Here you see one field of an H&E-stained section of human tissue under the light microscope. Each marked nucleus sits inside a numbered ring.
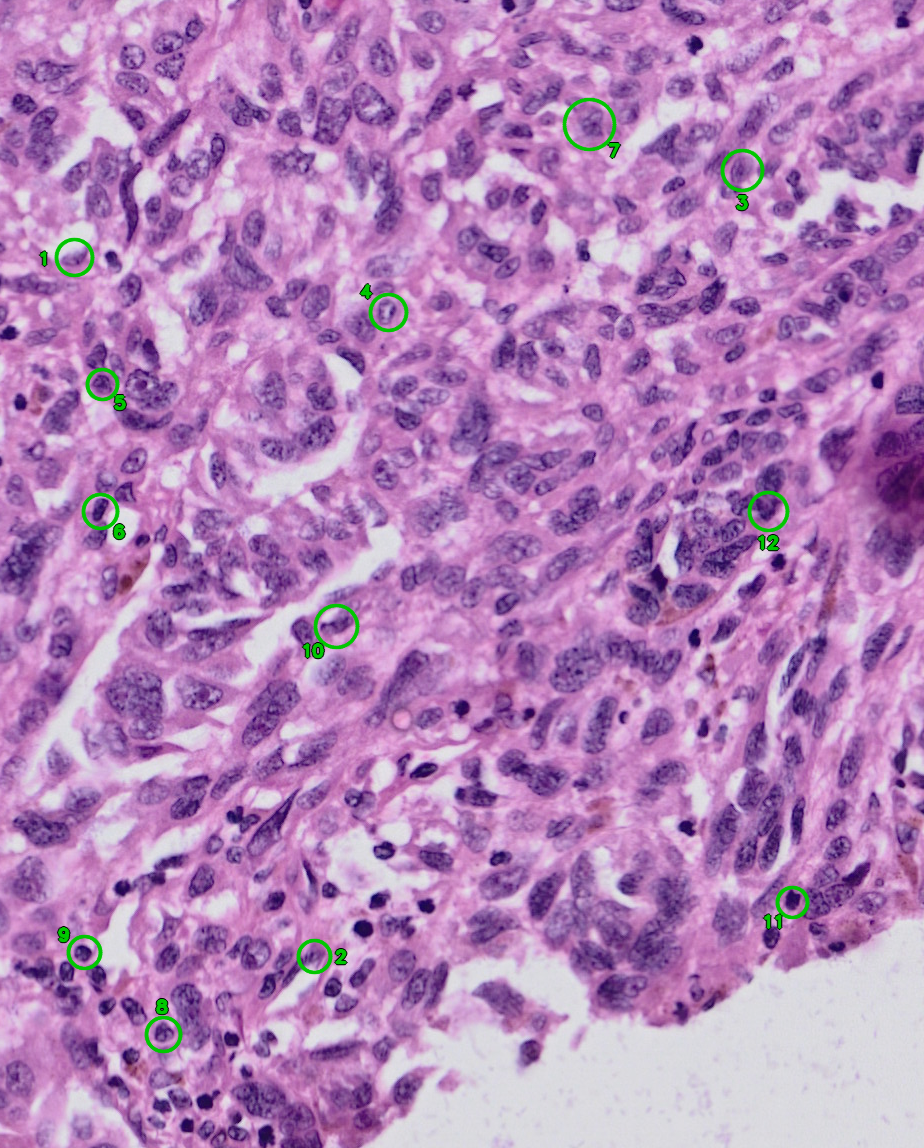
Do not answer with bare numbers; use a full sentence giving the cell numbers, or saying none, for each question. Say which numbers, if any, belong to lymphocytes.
Cells 6, 8, 9 and 11 are of one type, namely lymphocytes.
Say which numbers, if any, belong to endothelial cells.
Only the cell with number 2 is an endothelial cell.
